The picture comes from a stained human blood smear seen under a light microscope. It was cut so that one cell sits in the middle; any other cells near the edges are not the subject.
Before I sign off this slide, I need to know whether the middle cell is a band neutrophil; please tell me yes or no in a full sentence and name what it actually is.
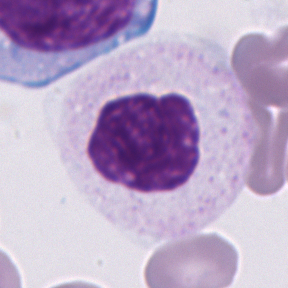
No, the cell in the middle is categorised as a segmented neutrophil, not a band neutrophil.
